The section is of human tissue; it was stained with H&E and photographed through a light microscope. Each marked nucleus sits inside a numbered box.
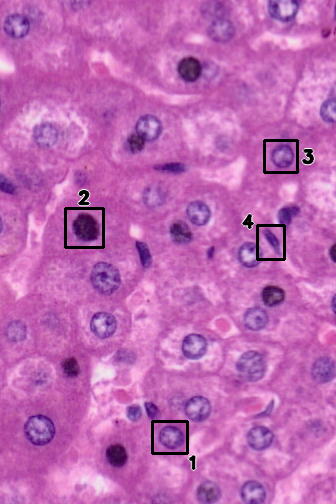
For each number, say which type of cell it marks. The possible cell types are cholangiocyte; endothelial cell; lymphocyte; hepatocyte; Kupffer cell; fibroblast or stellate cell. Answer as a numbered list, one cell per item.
1. hepatocyte
2. hepatocyte
3. hepatocyte
4. fibroblast or stellate cell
